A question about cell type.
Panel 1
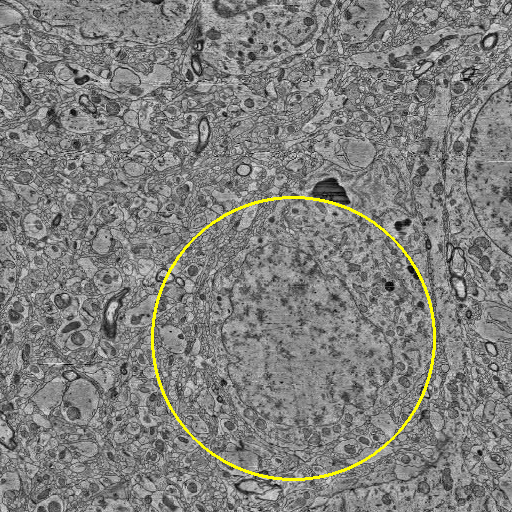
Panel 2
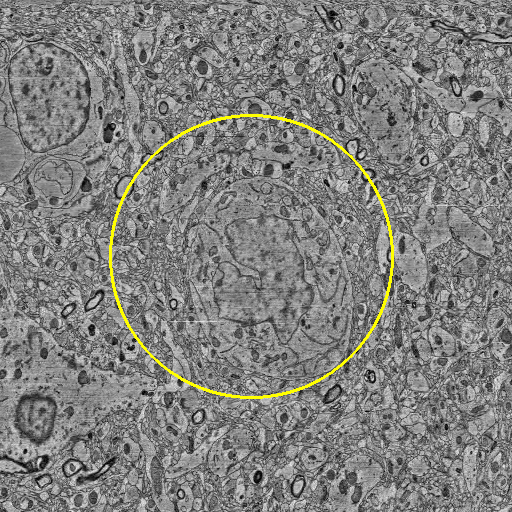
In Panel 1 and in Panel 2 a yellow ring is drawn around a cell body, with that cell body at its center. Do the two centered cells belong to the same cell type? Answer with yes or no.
yes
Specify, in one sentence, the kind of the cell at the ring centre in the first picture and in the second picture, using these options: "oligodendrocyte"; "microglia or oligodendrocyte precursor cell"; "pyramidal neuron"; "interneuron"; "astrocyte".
Both rings mark an interneuron, one in each picture.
